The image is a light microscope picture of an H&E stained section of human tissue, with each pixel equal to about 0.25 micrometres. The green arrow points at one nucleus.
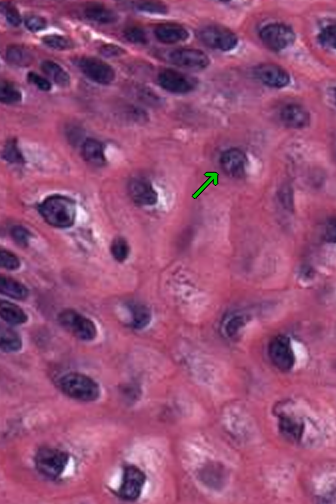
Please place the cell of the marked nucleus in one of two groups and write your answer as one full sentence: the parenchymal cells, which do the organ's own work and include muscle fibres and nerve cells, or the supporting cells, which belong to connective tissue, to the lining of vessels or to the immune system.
The marked nucleus is housed in a parenchymal cell, namely a squamous epithelial cell.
